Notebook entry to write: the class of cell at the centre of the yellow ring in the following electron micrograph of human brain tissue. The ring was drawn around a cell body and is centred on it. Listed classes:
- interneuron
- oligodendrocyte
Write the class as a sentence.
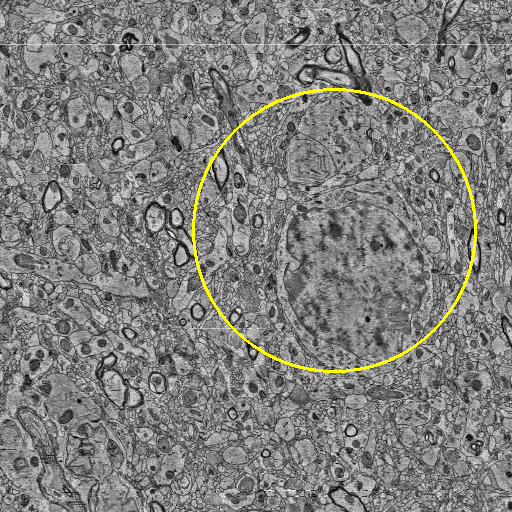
The yellow ring sits on an interneuron.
